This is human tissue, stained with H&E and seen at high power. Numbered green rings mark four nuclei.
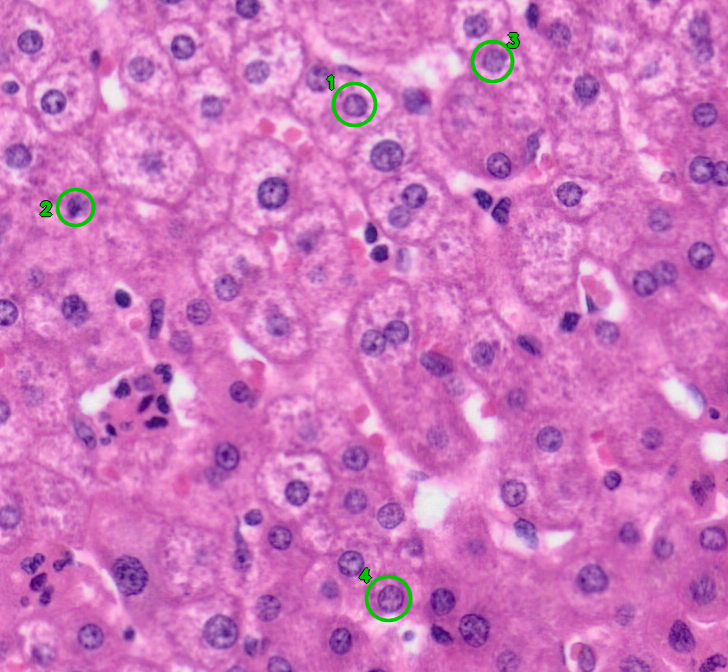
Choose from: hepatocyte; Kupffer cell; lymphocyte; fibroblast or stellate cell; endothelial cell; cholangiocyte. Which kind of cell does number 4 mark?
hepatocyte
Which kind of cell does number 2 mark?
endothelial cell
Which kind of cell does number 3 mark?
hepatocyte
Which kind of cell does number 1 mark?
hepatocyte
